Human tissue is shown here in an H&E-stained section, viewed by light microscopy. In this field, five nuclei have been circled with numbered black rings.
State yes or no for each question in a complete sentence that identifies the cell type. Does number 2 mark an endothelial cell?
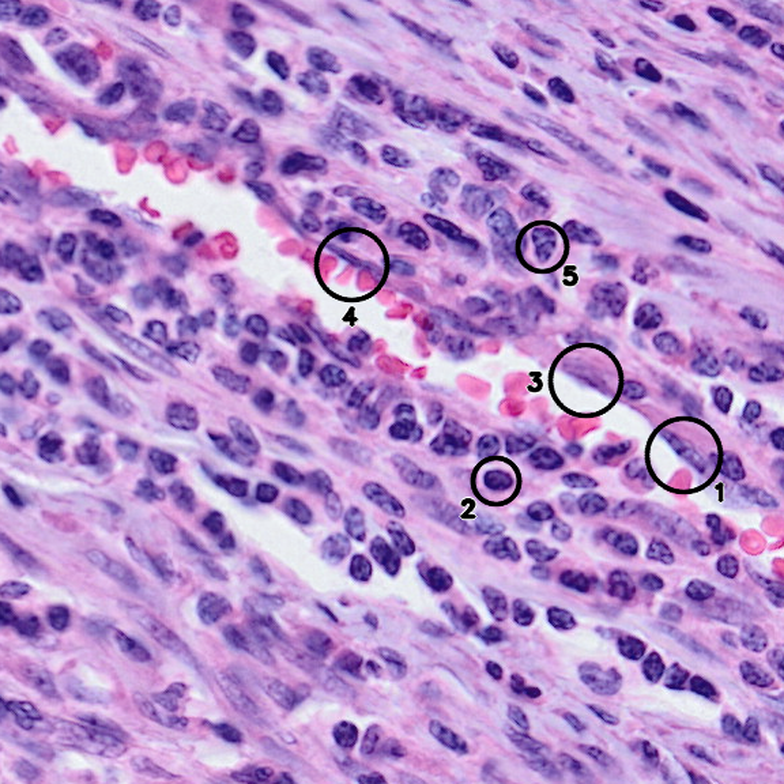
No, cell 2 is not an endothelial cell, but is instead a lymphocyte.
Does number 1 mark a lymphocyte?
No, the cell carrying number 1 is an endothelial cell, not a lymphocyte.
